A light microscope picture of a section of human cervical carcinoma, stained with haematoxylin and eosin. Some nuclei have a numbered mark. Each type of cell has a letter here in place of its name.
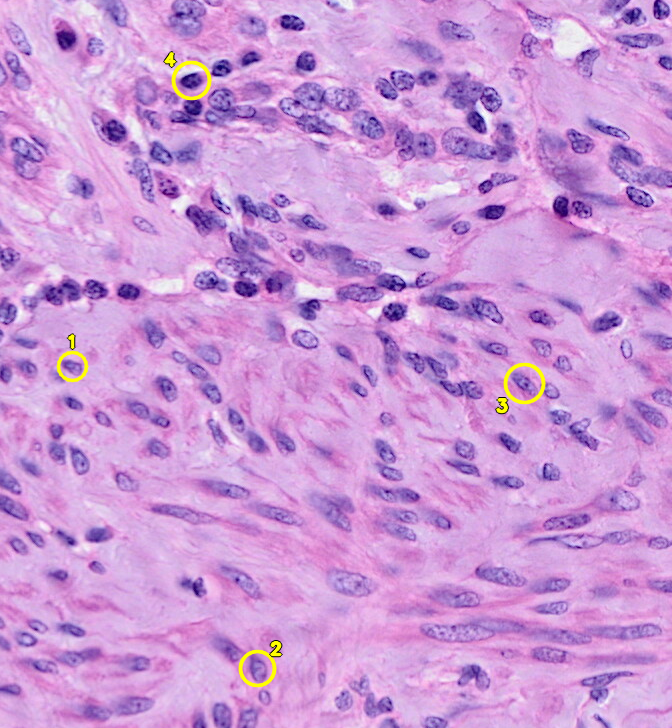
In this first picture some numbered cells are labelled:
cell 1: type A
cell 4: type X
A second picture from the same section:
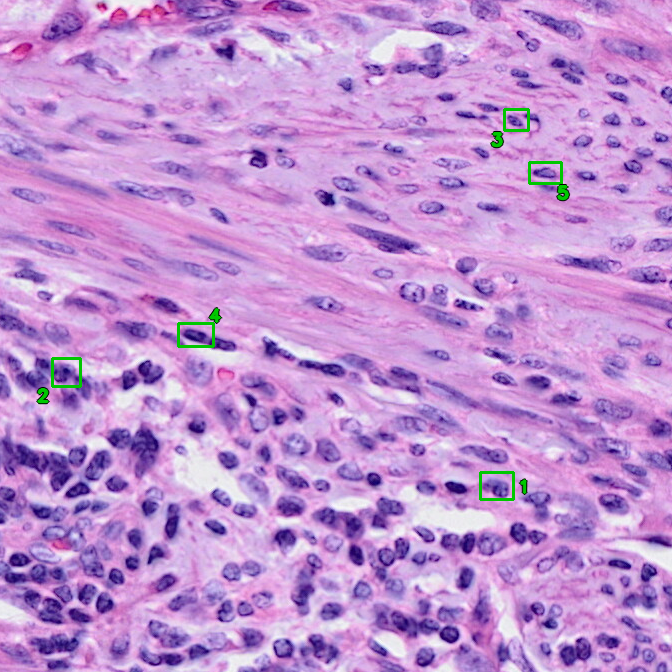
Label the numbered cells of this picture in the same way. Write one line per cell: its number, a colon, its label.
1: type X
2: type X
3: type A
4: type X
5: type A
